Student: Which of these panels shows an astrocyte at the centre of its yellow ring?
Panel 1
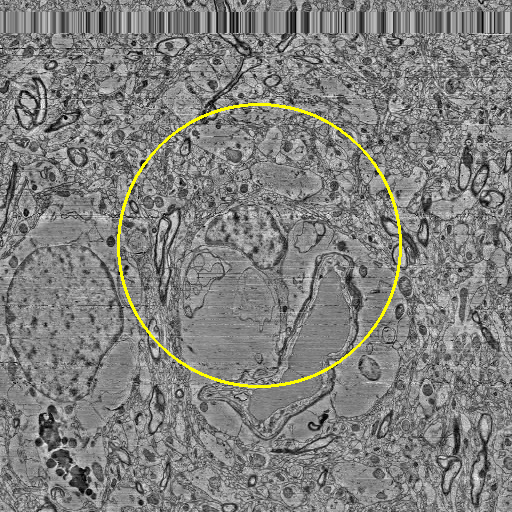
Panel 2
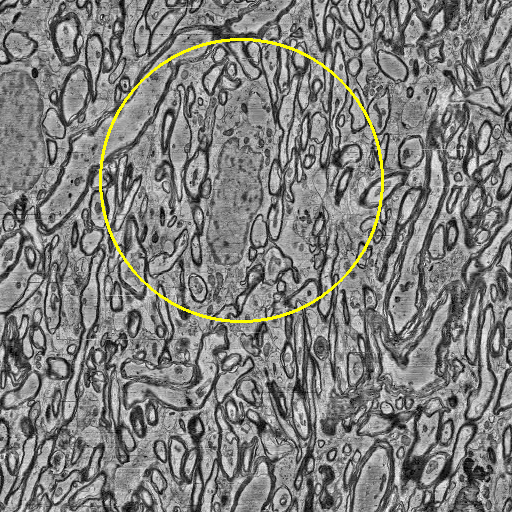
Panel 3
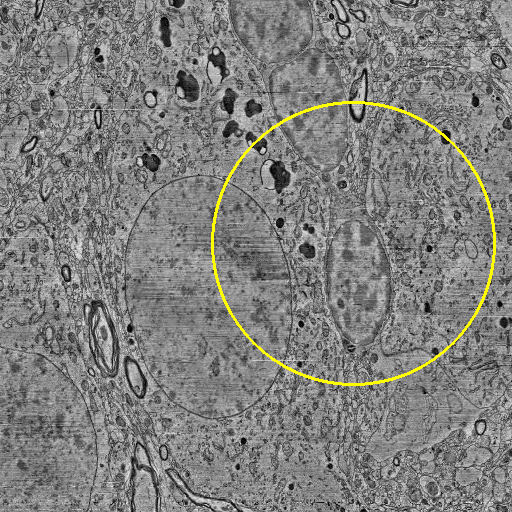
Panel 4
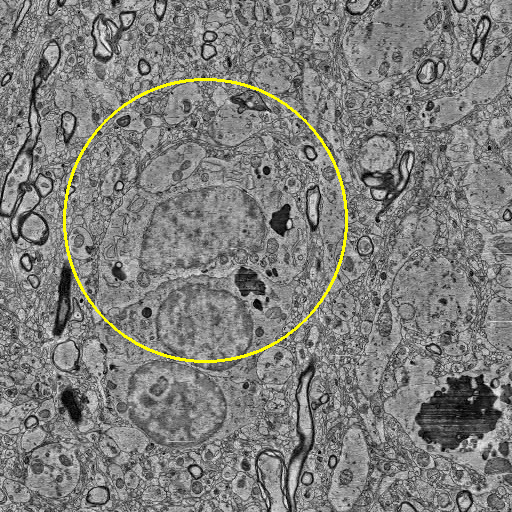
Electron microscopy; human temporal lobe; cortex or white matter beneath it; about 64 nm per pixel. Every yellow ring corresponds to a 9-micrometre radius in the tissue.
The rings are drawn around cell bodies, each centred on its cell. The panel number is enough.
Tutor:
2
